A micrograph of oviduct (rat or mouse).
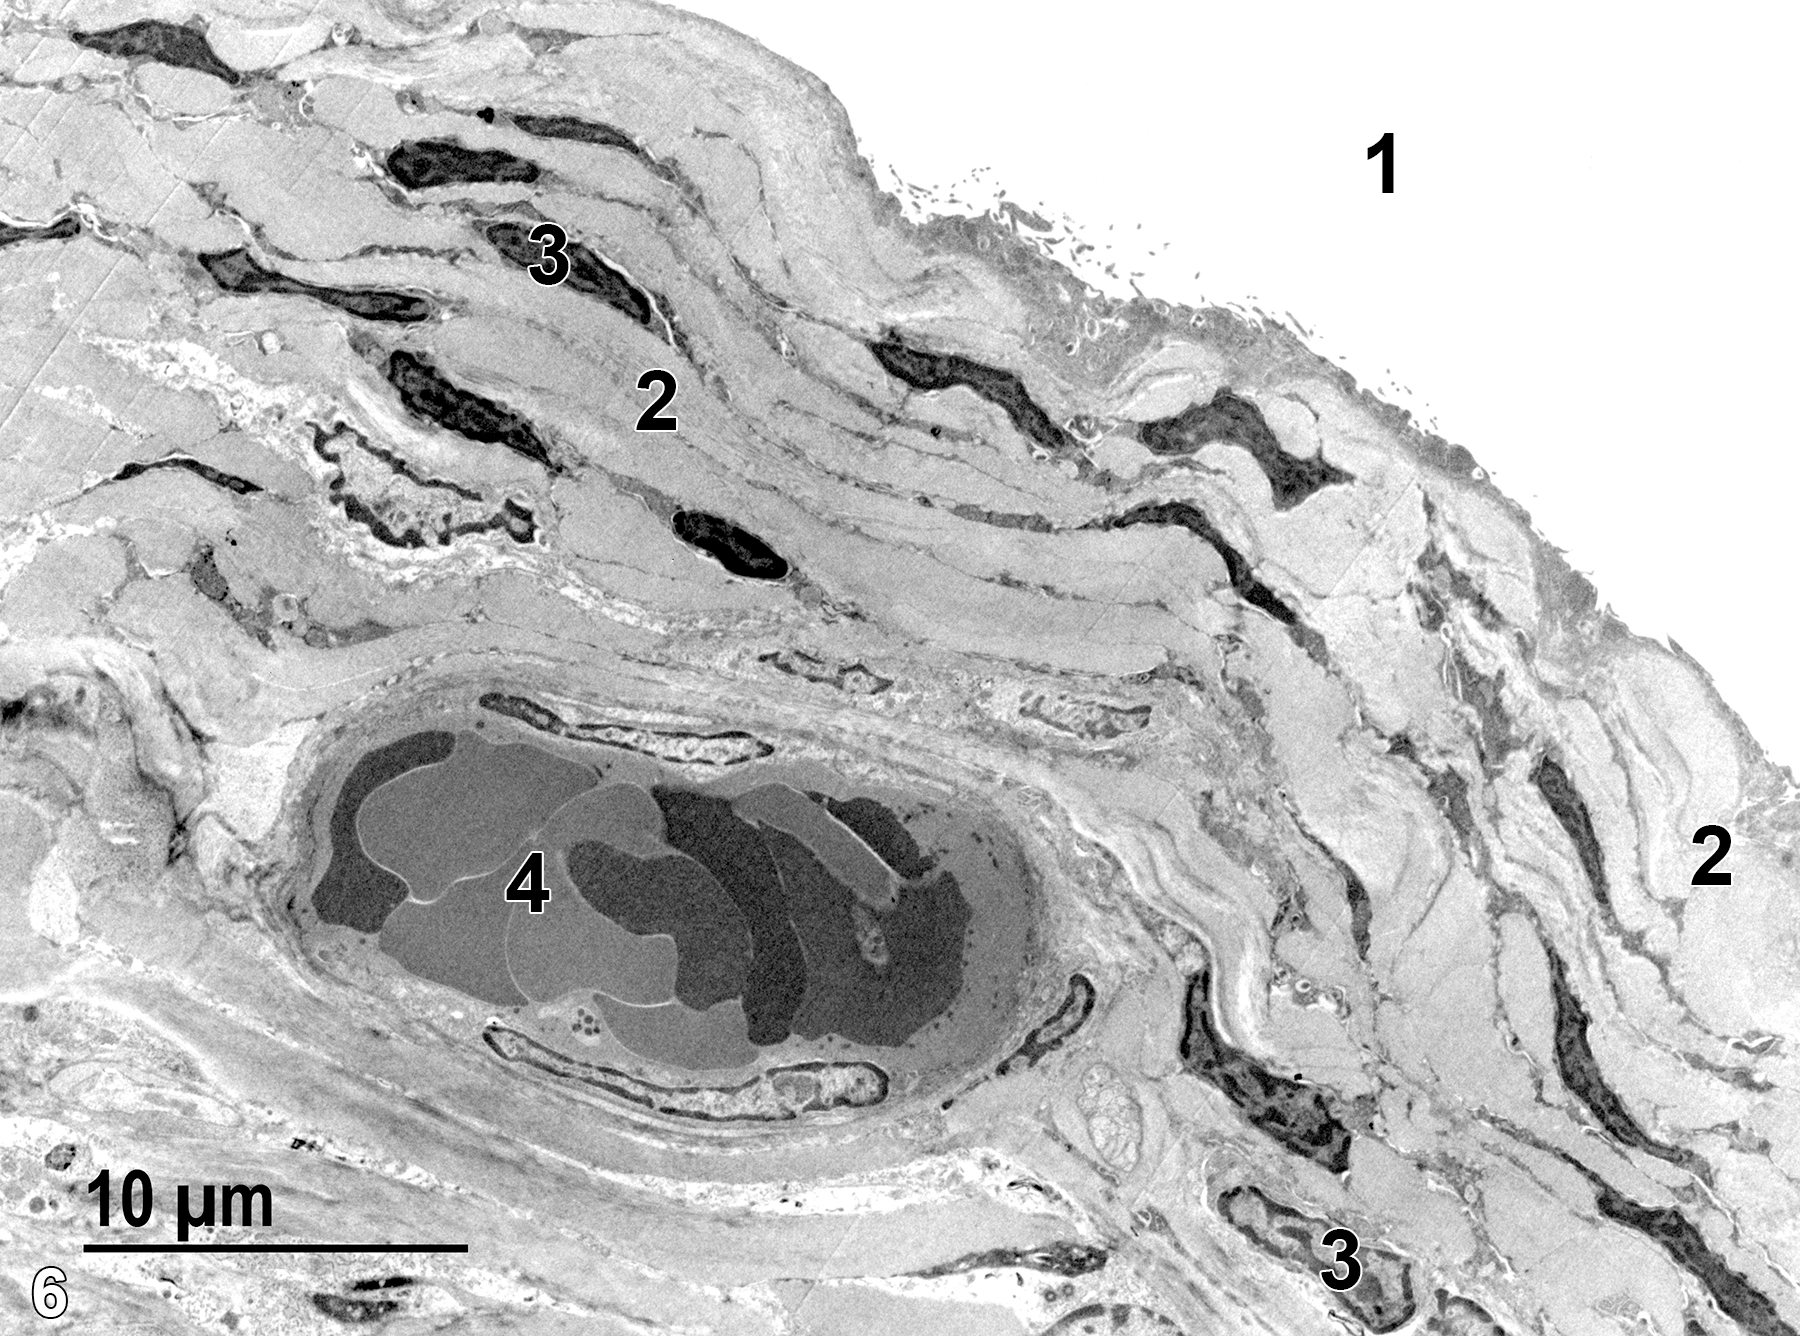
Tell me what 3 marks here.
3 marks the fibroblast nuclei.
